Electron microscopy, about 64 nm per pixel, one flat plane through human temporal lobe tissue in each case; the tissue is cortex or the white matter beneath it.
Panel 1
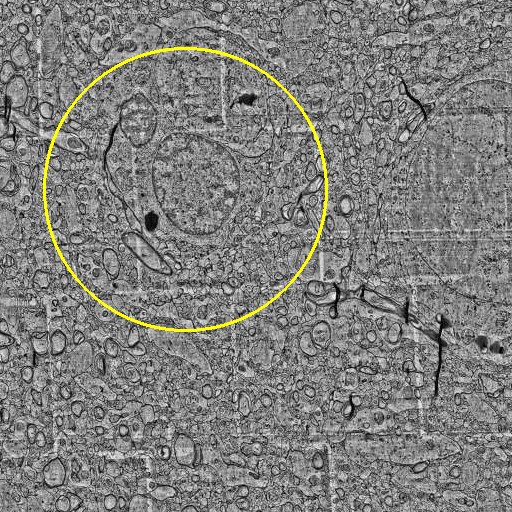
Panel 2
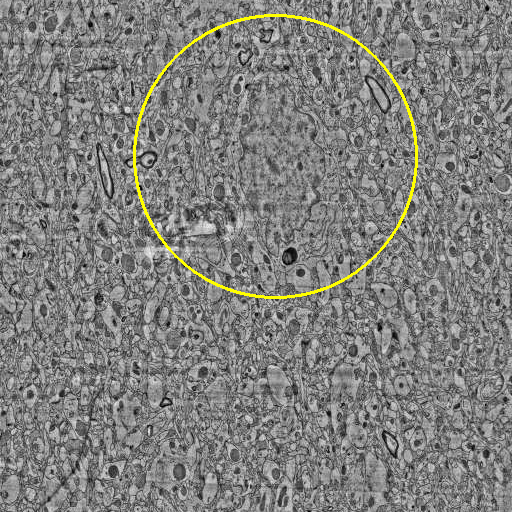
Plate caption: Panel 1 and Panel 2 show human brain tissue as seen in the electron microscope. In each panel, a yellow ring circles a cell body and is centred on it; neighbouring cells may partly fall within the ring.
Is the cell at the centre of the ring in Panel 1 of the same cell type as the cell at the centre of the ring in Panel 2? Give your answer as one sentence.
No, the two cells are of two types.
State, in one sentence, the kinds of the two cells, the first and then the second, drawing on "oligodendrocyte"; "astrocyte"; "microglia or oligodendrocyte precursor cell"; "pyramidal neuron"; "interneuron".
The ring in the second picture is centred on an interneuron, the ring in the first on an oligodendrocyte.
